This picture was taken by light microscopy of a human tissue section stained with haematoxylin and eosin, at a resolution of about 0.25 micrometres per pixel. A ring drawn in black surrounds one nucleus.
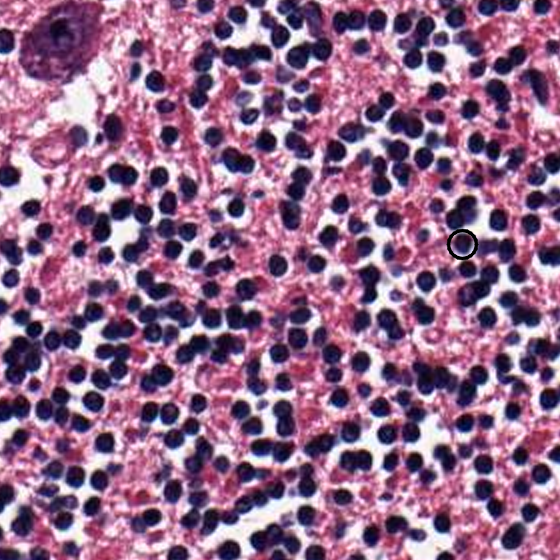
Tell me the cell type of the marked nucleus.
cerebellar granule cell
